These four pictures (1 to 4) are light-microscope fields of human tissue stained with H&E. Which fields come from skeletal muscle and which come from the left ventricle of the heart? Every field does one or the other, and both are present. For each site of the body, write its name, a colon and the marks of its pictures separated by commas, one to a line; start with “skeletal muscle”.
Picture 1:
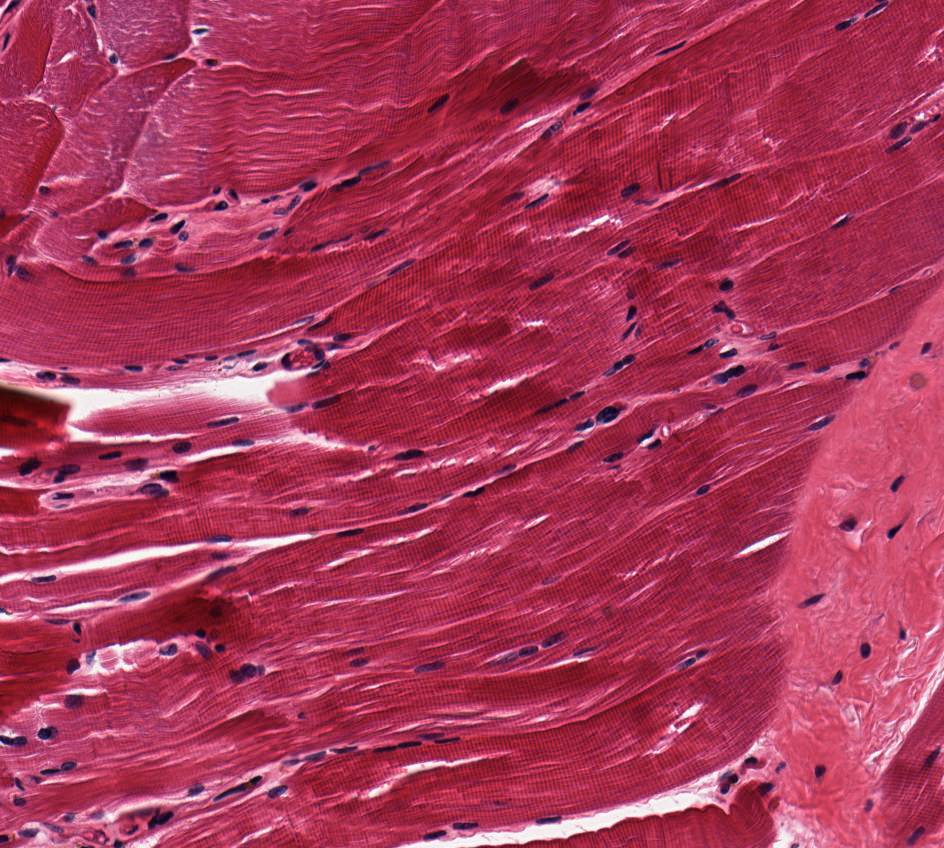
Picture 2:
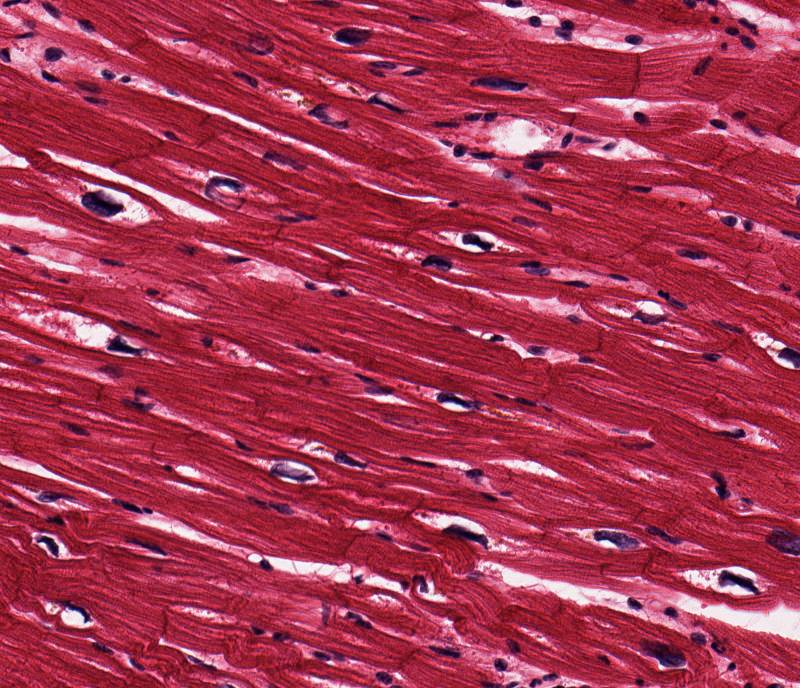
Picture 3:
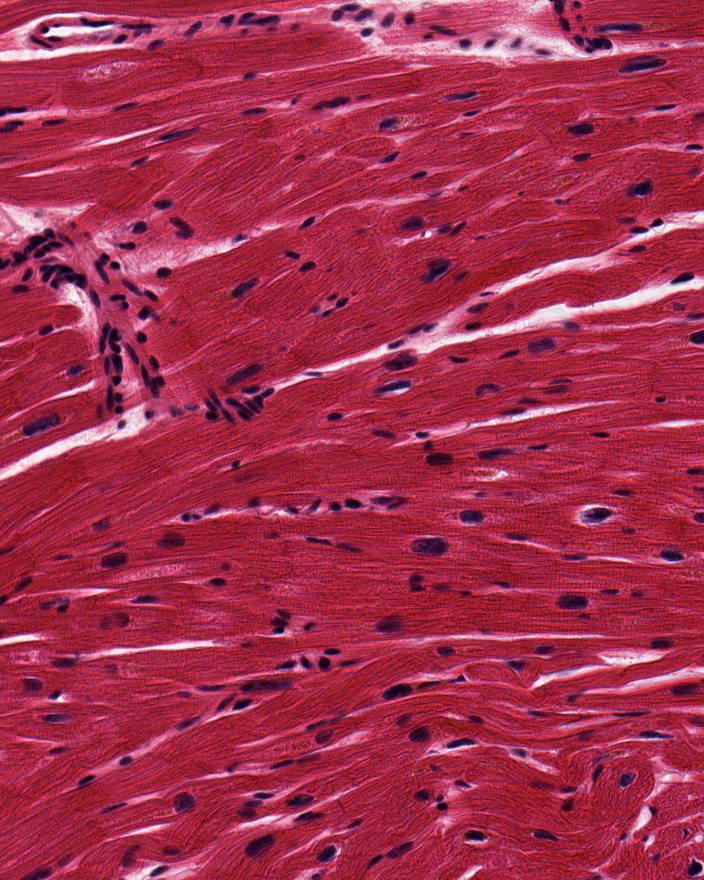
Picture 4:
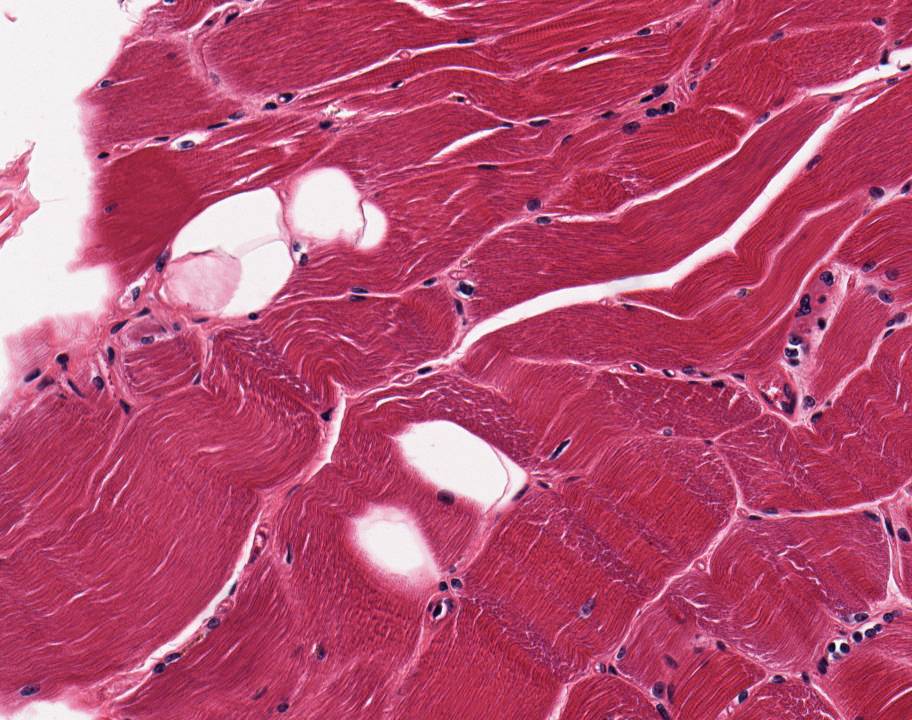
skeletal muscle: 1, 4
left ventricle of the heart: 2, 3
